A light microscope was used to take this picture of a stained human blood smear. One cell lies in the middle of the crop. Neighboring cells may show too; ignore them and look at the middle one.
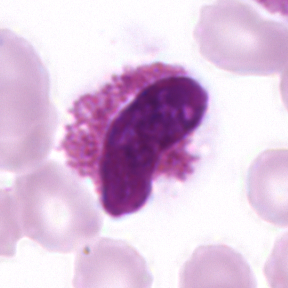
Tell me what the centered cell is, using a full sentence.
Where the crop is centred, there is an eosinophil.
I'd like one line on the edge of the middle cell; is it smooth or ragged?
Smoothness is lacking at the edge, which is ragged in places or drawn into projections.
